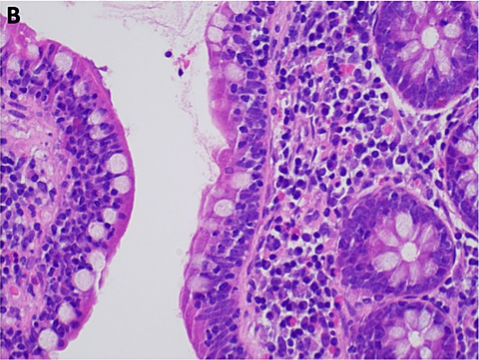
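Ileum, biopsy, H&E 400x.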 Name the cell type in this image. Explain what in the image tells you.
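Small round dark nuclei lie between the columnar epithelial cells of the surface lining. Goblet cells with pale mucin vacuoles are interspersed in the epithelium. That points to this answer: intraepithelial lymphocytes.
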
